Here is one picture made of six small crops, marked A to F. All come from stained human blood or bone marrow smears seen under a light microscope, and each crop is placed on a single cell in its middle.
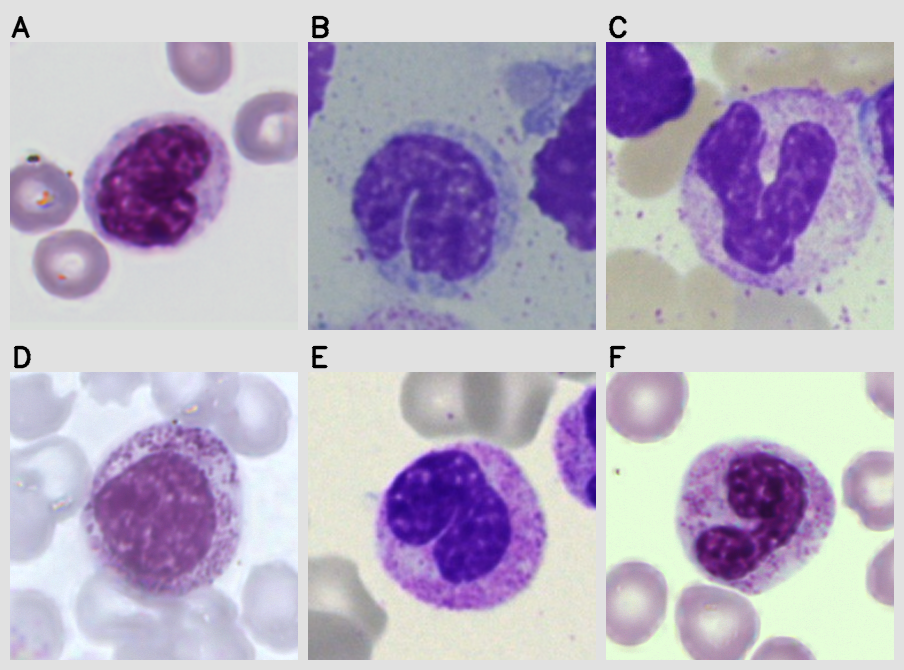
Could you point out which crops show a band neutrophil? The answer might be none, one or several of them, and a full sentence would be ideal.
Those crops that show band neutrophils are A, C, E and F.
